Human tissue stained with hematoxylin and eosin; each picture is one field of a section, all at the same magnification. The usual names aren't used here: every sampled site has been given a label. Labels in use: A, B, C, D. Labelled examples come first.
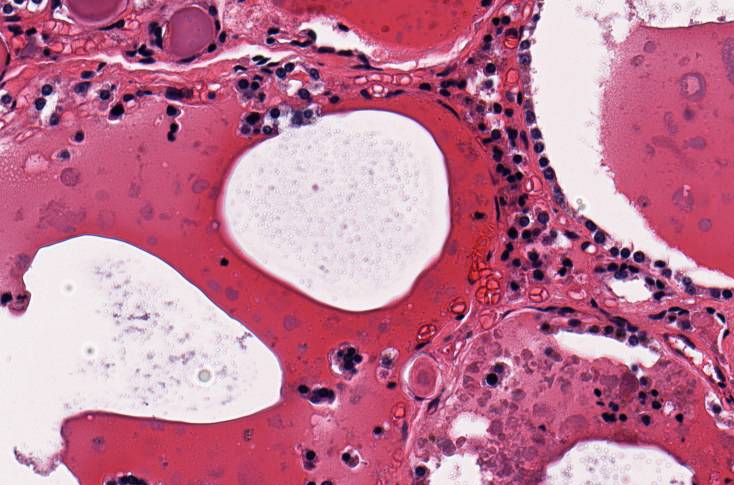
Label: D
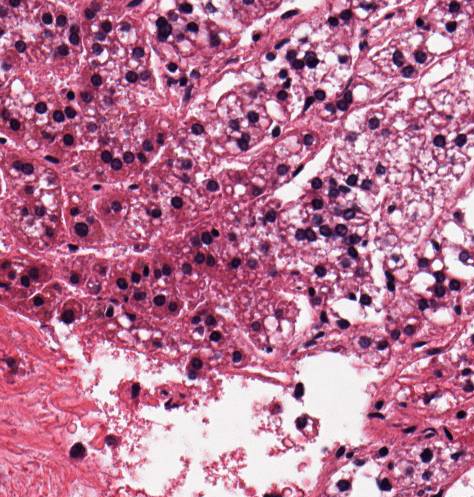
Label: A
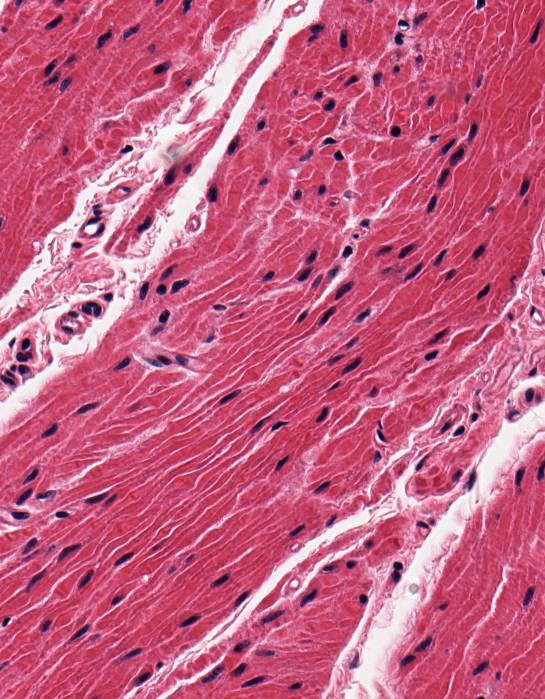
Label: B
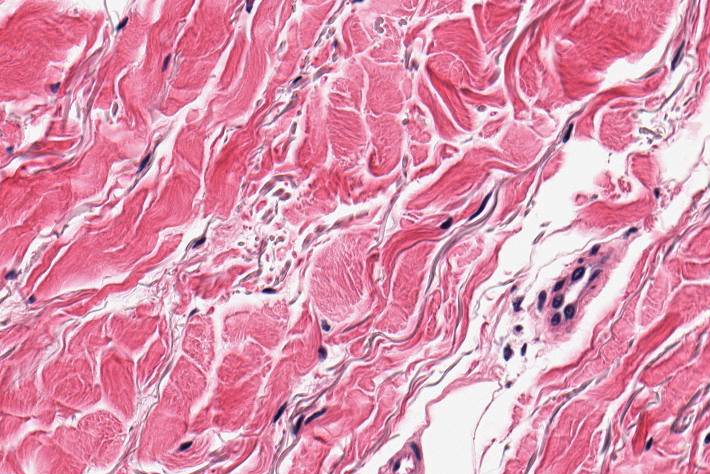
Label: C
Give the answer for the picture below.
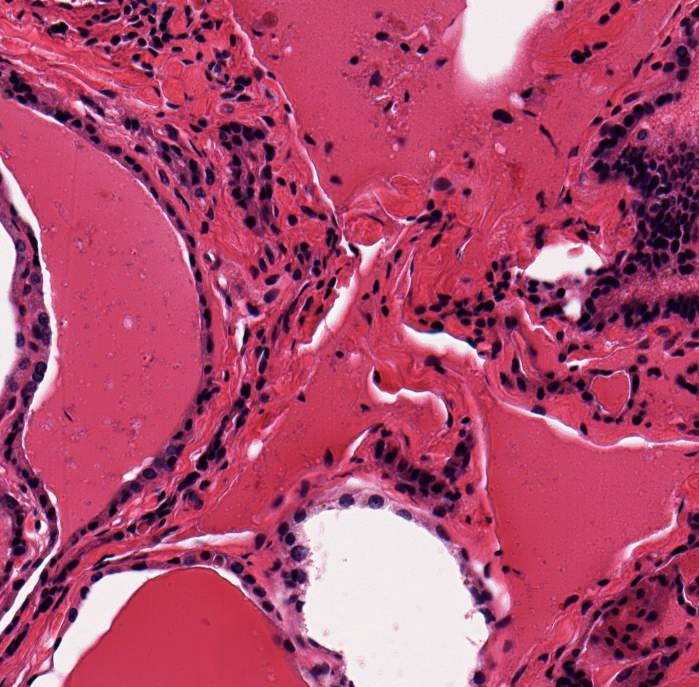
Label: D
